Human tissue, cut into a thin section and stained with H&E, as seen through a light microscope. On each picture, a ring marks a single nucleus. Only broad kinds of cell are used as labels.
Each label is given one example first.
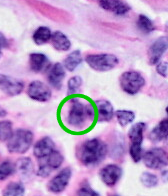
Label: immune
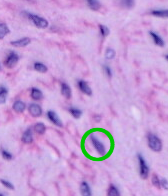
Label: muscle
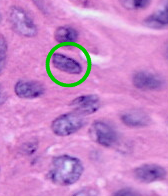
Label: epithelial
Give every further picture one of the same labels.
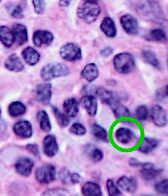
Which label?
immune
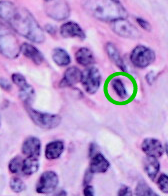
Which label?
immune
